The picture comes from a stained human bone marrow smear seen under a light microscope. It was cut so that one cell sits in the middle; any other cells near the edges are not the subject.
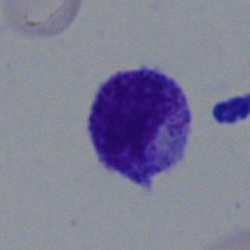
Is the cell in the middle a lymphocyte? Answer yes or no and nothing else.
yes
